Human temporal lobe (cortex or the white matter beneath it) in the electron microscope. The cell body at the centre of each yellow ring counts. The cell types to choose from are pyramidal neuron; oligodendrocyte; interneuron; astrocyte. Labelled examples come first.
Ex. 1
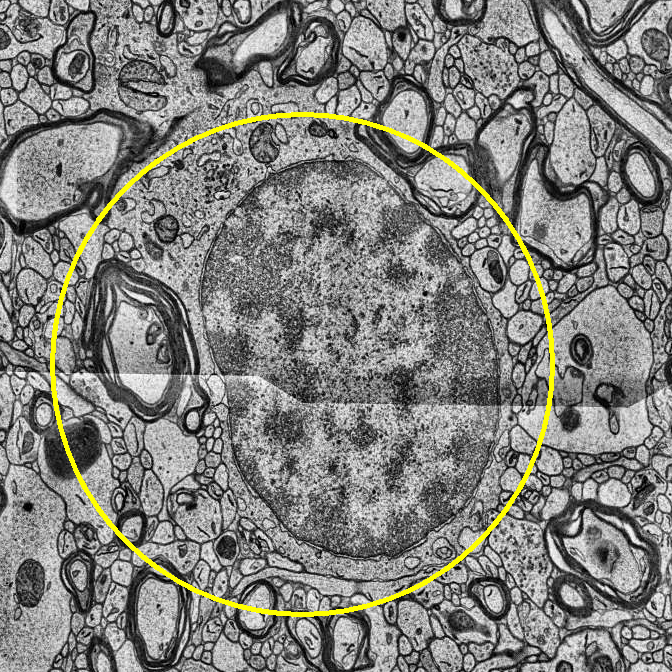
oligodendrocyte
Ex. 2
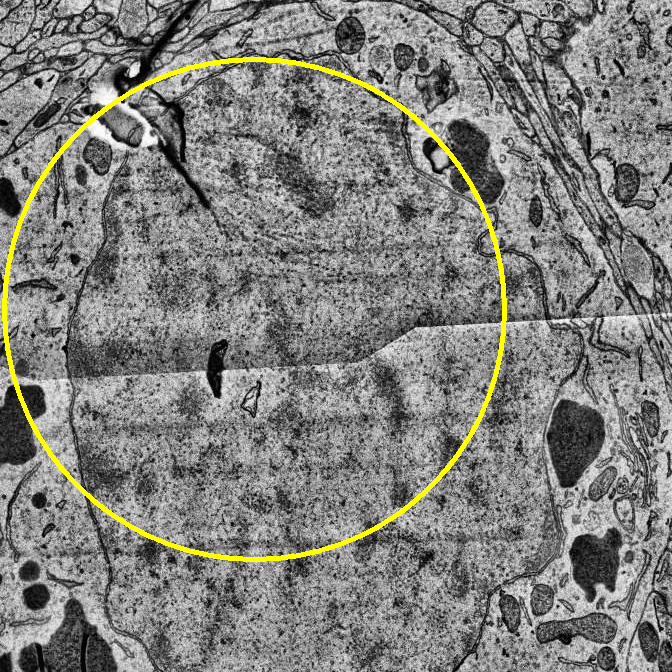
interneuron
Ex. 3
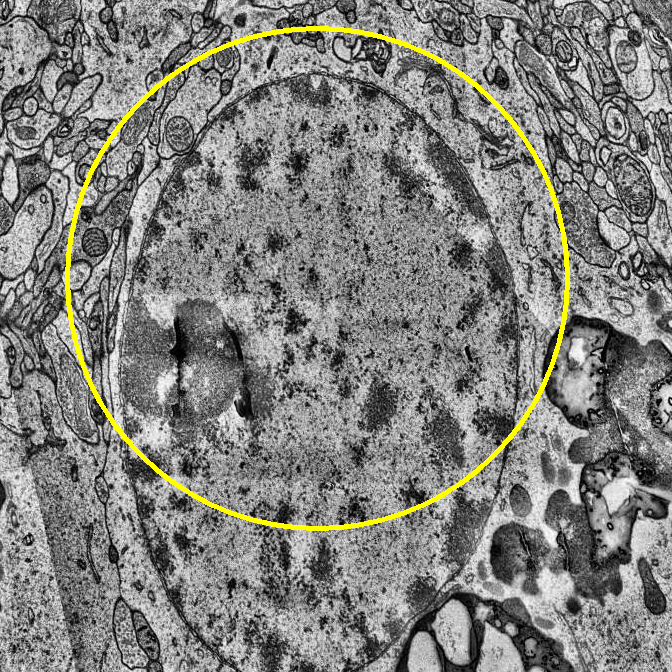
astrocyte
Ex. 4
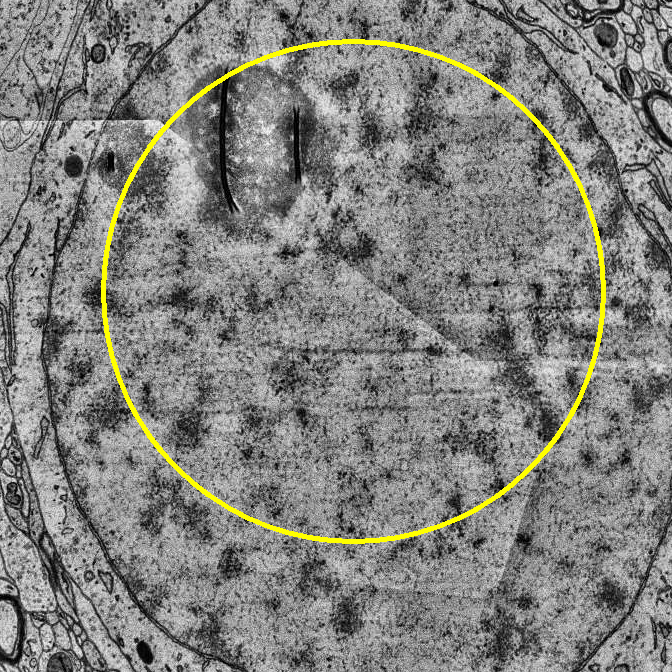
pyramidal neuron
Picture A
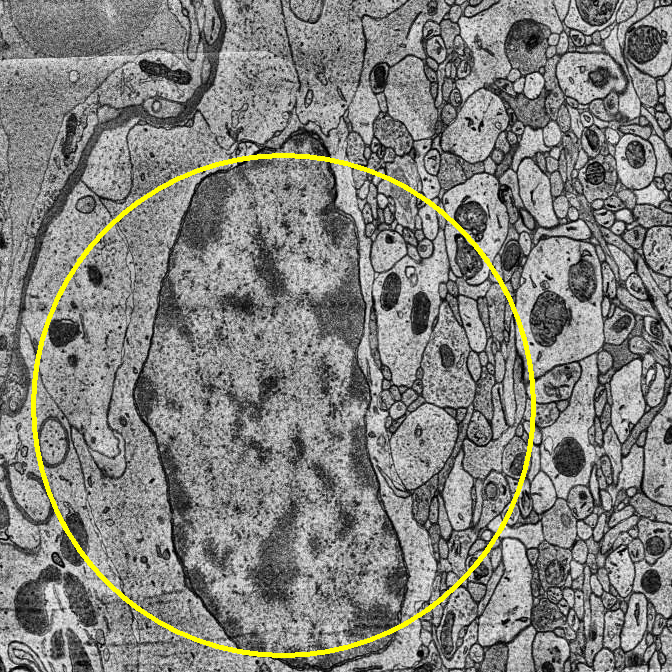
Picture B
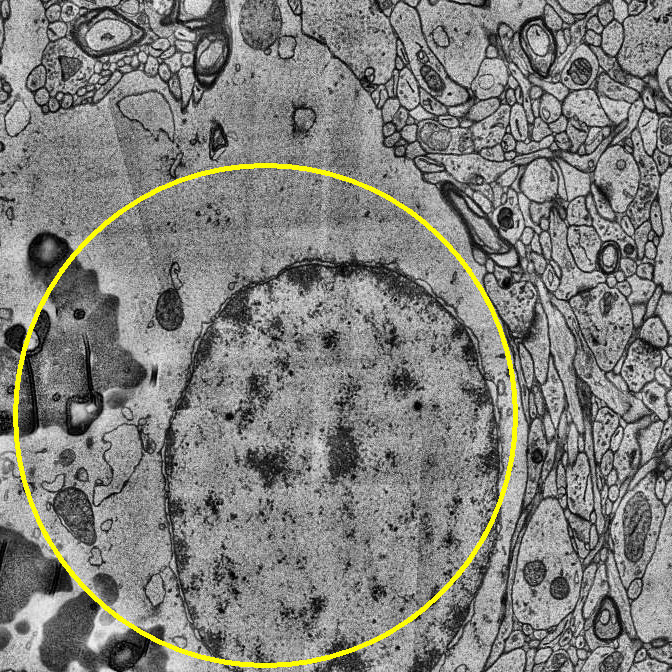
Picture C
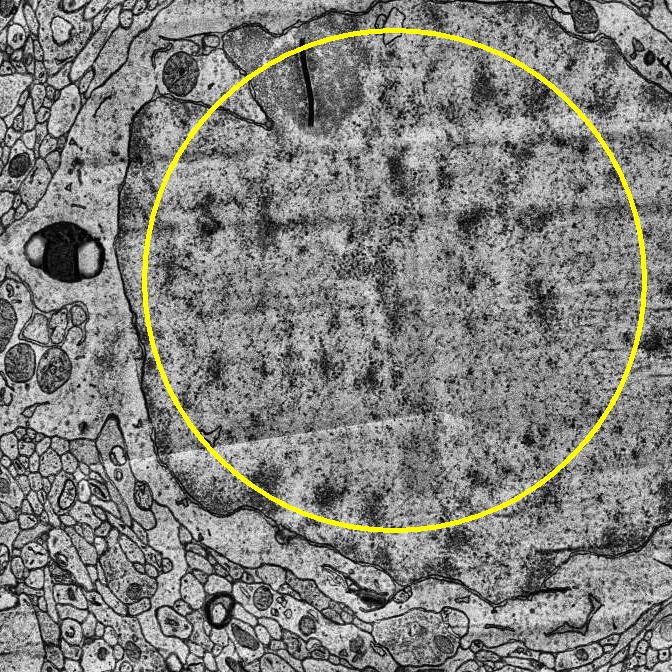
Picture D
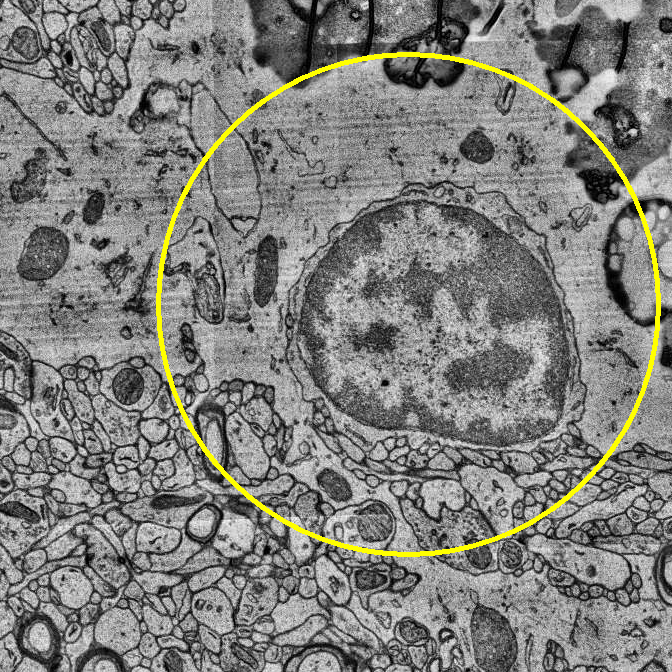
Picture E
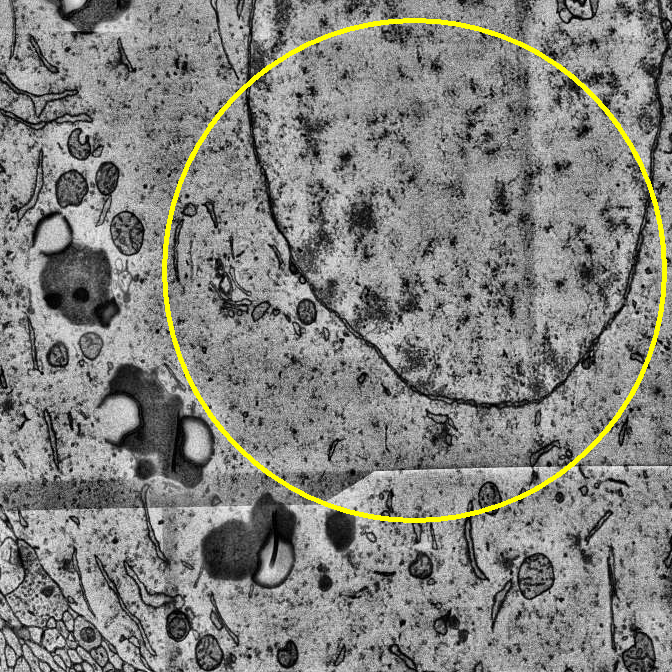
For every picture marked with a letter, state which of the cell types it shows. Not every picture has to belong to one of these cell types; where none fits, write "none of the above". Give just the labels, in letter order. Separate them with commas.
none of the above, astrocyte, interneuron, none of the above, pyramidal neuron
